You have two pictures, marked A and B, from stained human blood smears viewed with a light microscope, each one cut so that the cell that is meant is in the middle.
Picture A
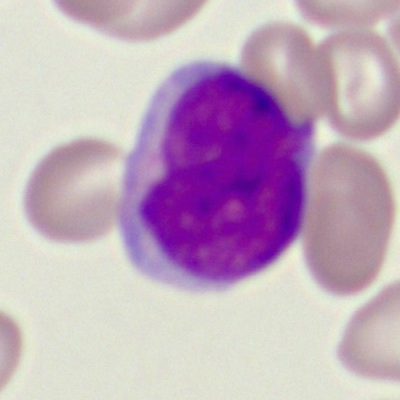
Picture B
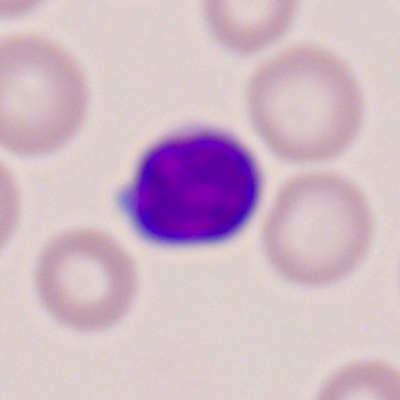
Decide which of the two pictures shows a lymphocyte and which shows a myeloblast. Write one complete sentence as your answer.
Picture A shows a myeloblast and picture B shows a lymphocyte.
